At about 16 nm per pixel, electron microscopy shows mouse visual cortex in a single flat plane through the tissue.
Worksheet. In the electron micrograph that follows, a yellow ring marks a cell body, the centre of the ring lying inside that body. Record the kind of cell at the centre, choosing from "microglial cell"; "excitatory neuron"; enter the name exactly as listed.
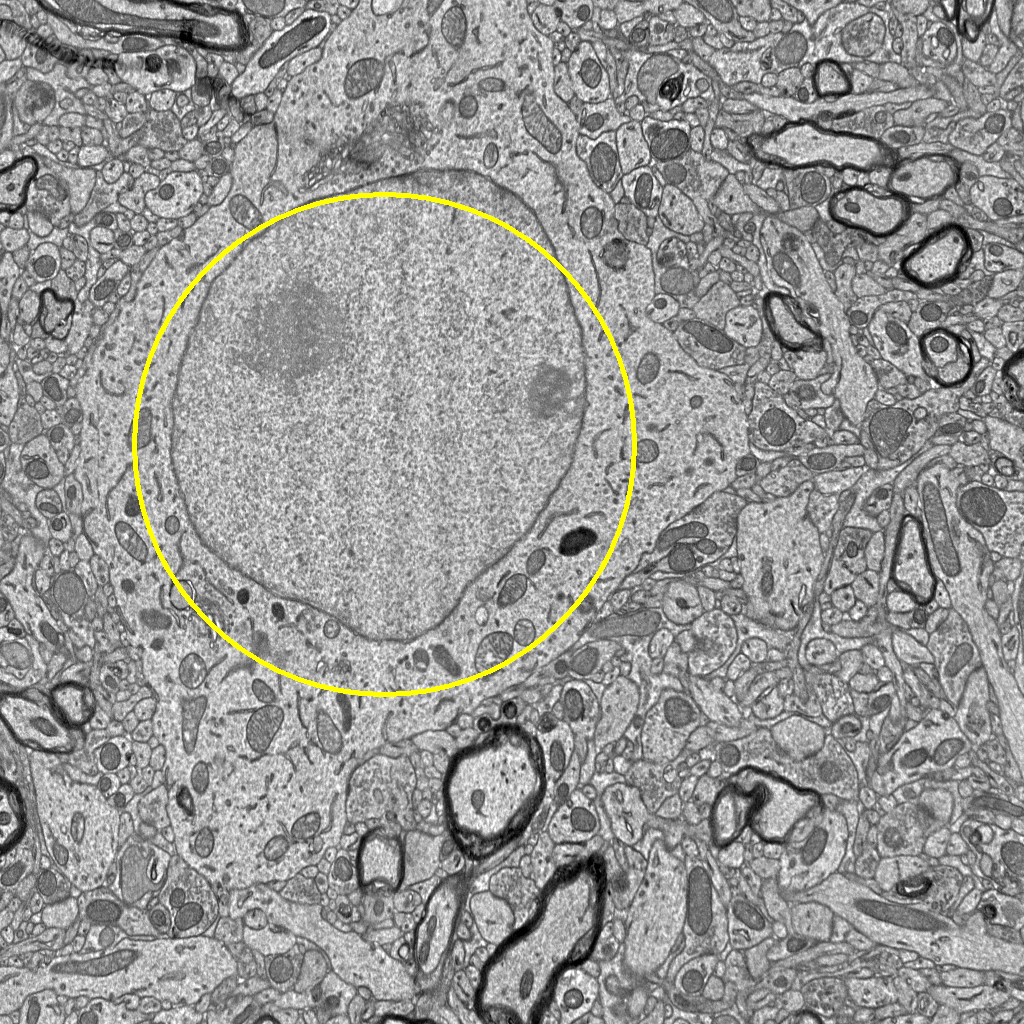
excitatory neuron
